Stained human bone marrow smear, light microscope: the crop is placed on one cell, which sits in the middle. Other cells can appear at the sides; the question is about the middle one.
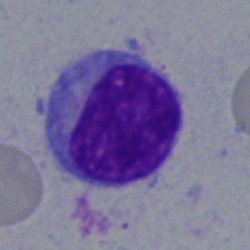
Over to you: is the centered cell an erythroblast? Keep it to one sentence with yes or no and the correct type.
No, the cell under consideration is a lymphocyte instead of an erythroblast.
